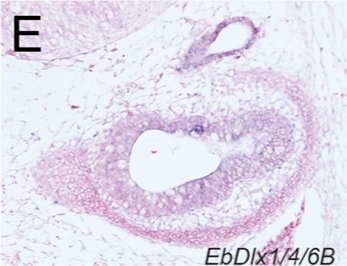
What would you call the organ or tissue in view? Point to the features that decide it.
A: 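An epithelial vesicle with a large central lumen. A curved cellular wall encloses the vesicle. That points to this answer: inner ear.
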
